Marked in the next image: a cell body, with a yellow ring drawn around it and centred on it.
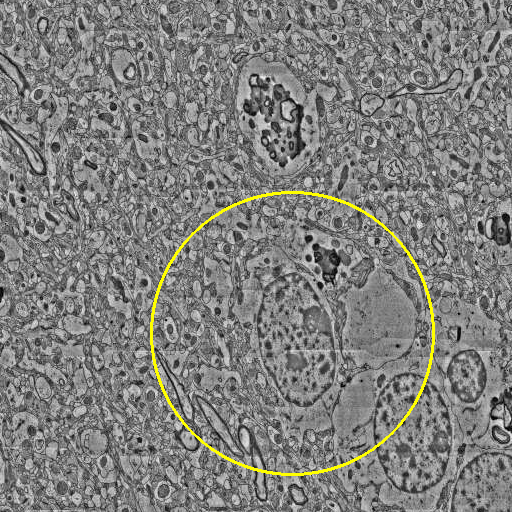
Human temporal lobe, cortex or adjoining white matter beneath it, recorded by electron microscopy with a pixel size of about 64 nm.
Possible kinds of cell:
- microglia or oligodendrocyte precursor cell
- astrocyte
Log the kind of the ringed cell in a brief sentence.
The ringed cell body is that of an astrocyte.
